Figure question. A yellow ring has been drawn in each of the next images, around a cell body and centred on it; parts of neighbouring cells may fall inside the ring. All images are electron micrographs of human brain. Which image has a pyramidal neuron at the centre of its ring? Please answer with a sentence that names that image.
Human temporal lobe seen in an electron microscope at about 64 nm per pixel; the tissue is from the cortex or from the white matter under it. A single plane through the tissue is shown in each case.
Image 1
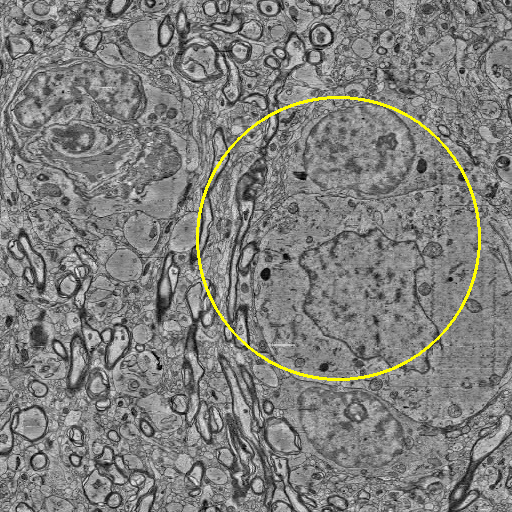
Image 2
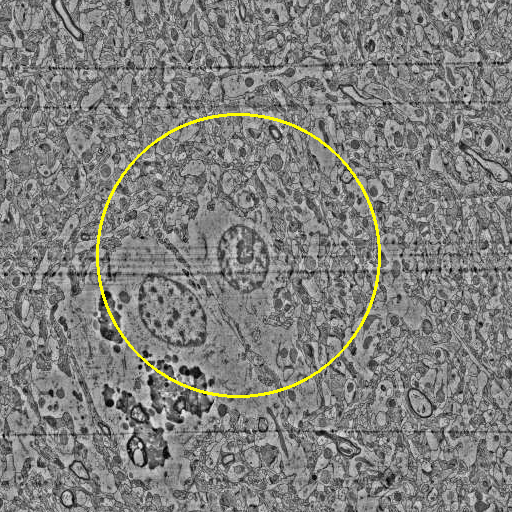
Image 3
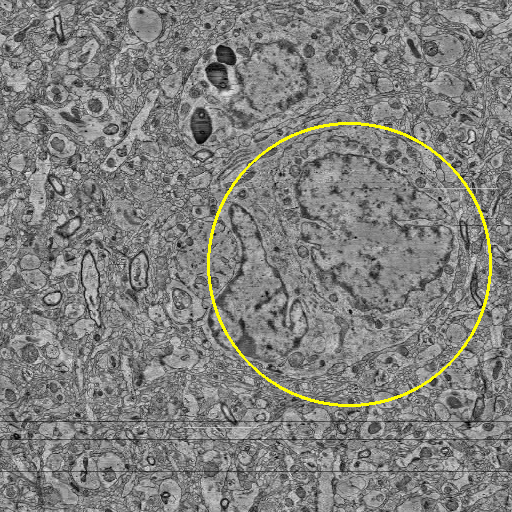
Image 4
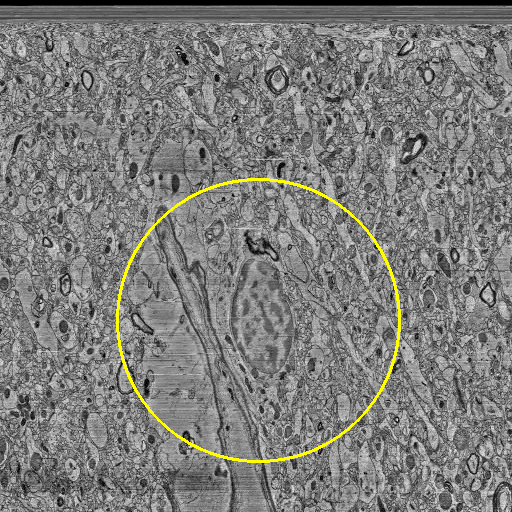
The cell at the centre of the ring in Image 1 is of that kind.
